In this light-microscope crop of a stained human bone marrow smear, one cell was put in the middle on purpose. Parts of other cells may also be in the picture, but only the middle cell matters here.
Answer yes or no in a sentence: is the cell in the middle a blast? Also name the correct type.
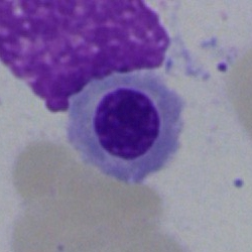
No, at the middle of the crop is an erythroblast, not a blast.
